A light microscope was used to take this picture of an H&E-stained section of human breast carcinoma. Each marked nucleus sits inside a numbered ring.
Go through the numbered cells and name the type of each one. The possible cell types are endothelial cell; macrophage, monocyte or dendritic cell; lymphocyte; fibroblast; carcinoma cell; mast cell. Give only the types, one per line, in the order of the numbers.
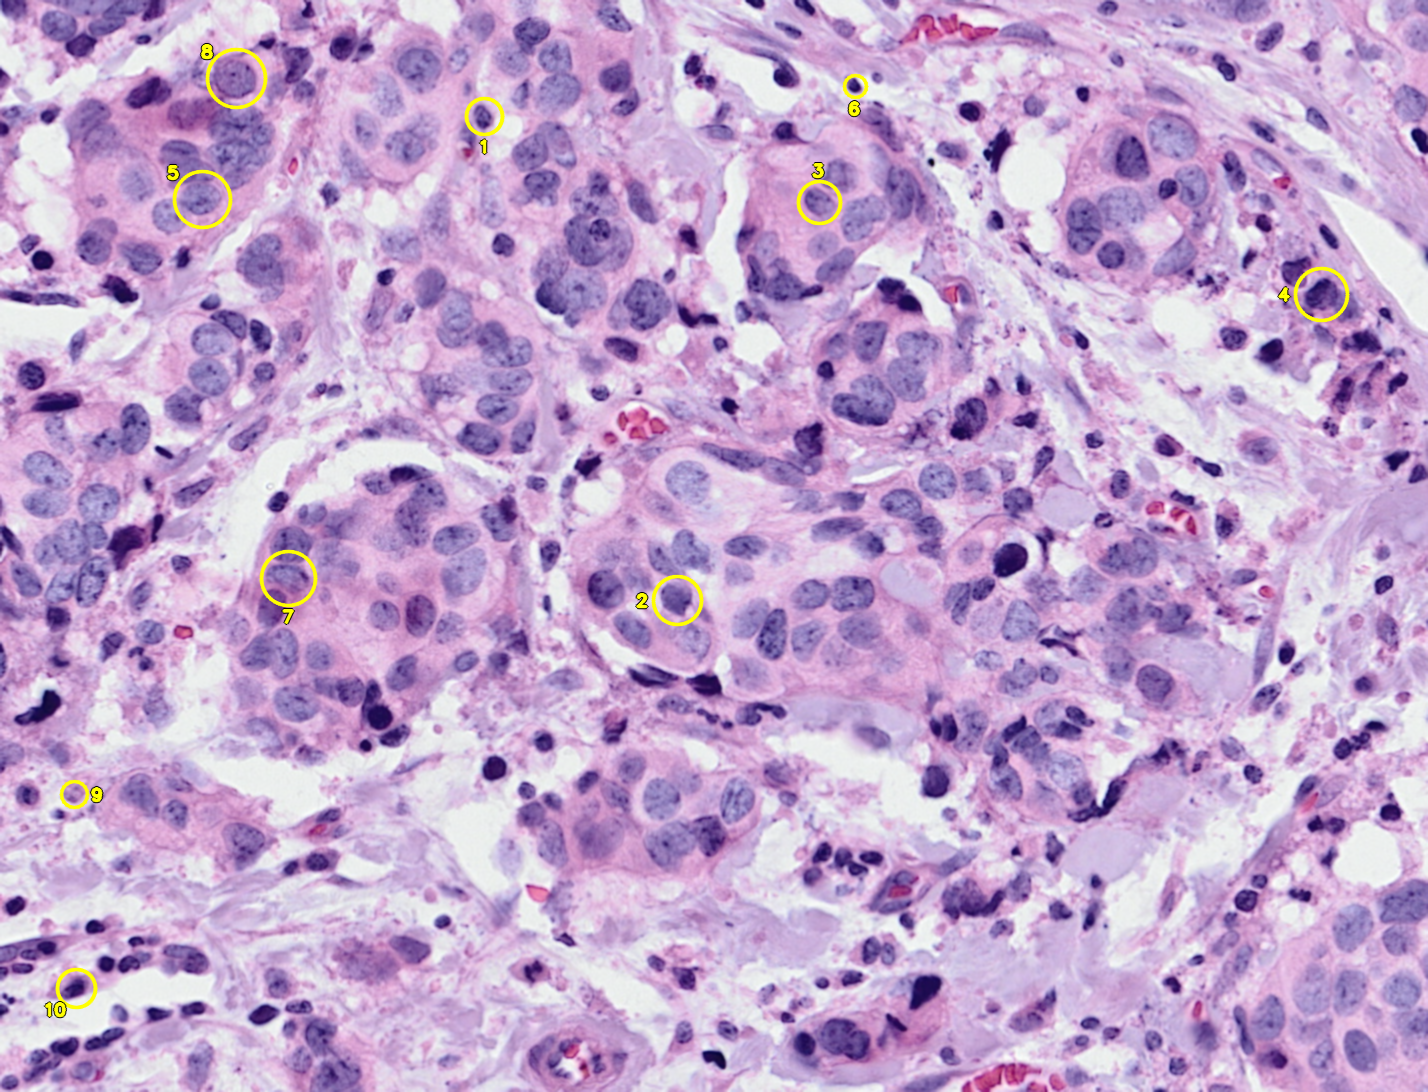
lymphocyte
carcinoma cell
carcinoma cell
carcinoma cell
carcinoma cell
lymphocyte
carcinoma cell
carcinoma cell
macrophage, monocyte or dendritic cell
lymphocyte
